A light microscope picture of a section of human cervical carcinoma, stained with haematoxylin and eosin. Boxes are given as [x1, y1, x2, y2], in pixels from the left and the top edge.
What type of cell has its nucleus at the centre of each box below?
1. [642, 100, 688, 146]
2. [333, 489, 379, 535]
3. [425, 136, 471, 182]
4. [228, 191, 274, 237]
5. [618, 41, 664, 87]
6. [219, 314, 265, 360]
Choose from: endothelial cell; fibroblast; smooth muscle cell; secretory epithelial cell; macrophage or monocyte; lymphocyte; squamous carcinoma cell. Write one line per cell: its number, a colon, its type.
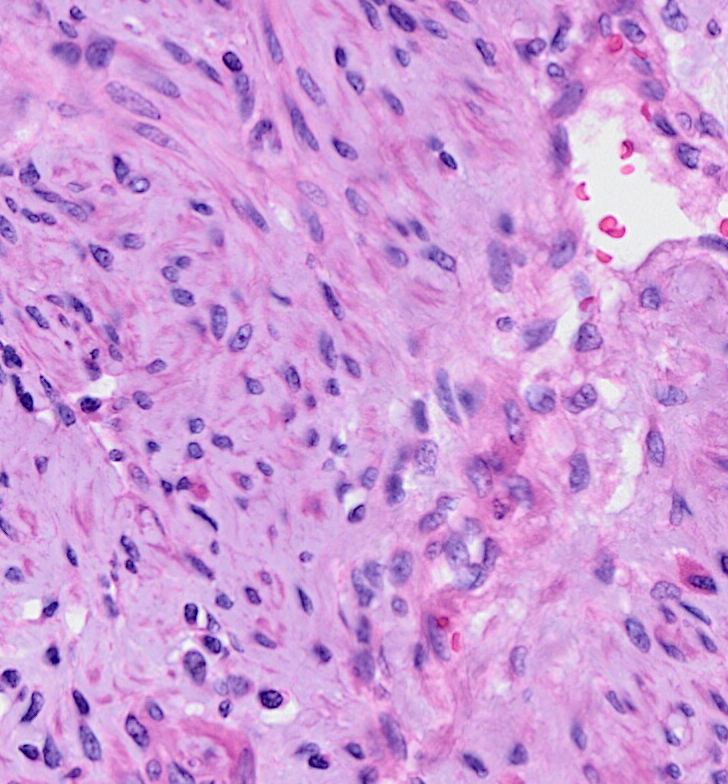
1: endothelial cell
2: lymphocyte
3: lymphocyte
4: smooth muscle cell
5: endothelial cell
6: smooth muscle cell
